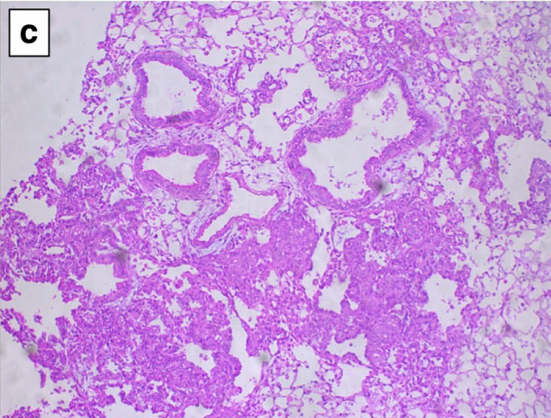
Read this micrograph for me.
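This is lung tissue stained pink and purple. In the upper middle lie several tubular cross-sections with thick, wavy pink walls, the airway and blood vessels, each surrounded by a sleeve of loose, paler connective tissue. In the lower half the walls are thickened and crowded with cells, so the air spaces look narrow and partly filled, with densely packed purple nuclei. Toward the right and top edges the alveoli are more open, with delicate, lacy walls.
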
